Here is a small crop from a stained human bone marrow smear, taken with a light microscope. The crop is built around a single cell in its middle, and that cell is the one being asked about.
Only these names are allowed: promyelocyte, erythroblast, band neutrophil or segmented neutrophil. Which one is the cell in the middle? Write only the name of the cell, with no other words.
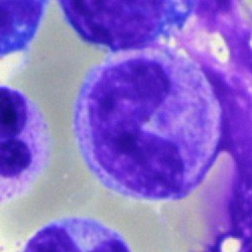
band neutrophil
